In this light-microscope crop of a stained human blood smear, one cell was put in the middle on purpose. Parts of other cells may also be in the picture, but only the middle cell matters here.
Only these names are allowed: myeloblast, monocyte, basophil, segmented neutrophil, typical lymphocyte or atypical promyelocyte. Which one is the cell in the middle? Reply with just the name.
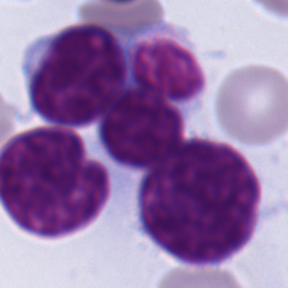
myeloblast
